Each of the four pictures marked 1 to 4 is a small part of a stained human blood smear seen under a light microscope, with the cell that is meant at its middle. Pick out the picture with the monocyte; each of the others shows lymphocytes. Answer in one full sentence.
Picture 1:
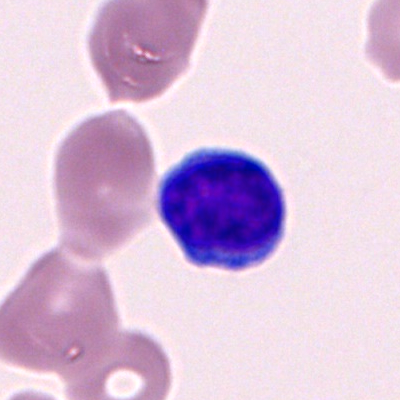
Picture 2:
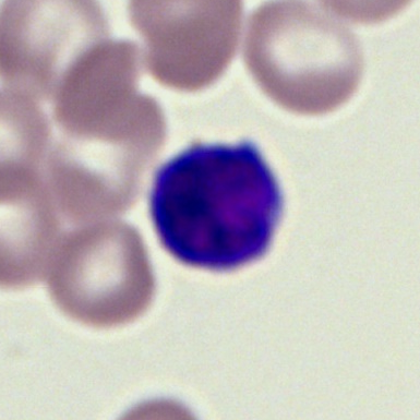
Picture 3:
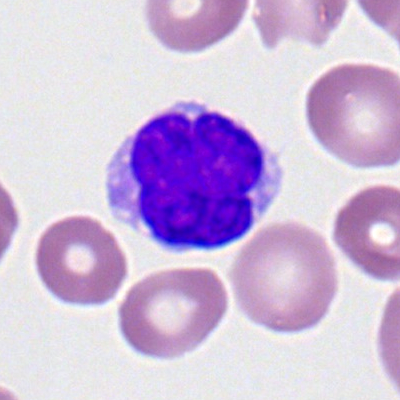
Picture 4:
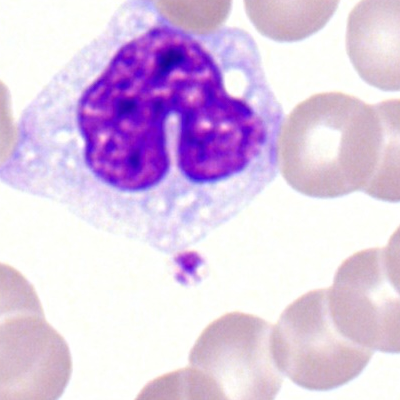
The monocyte is the one in picture 4.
